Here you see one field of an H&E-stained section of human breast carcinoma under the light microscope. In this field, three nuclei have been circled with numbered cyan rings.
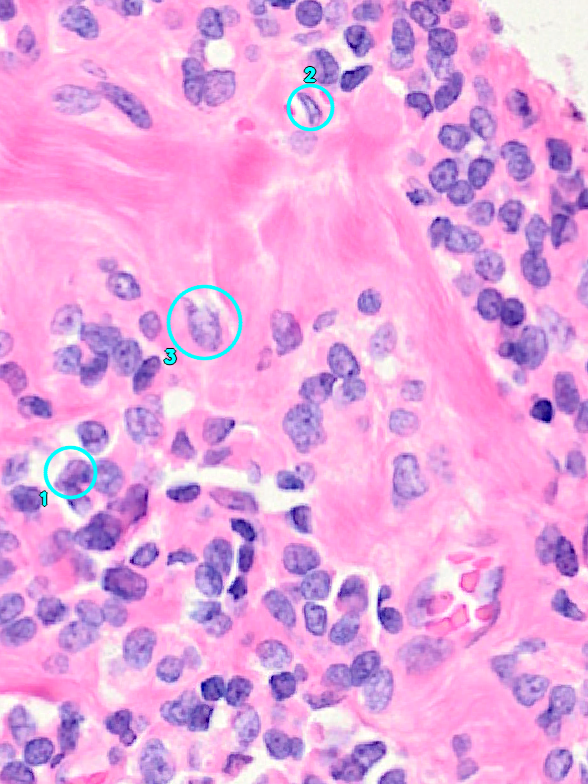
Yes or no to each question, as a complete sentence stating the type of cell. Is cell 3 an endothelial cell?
No, cell 3 isn't an endothelial cell; it's a fibroblast.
